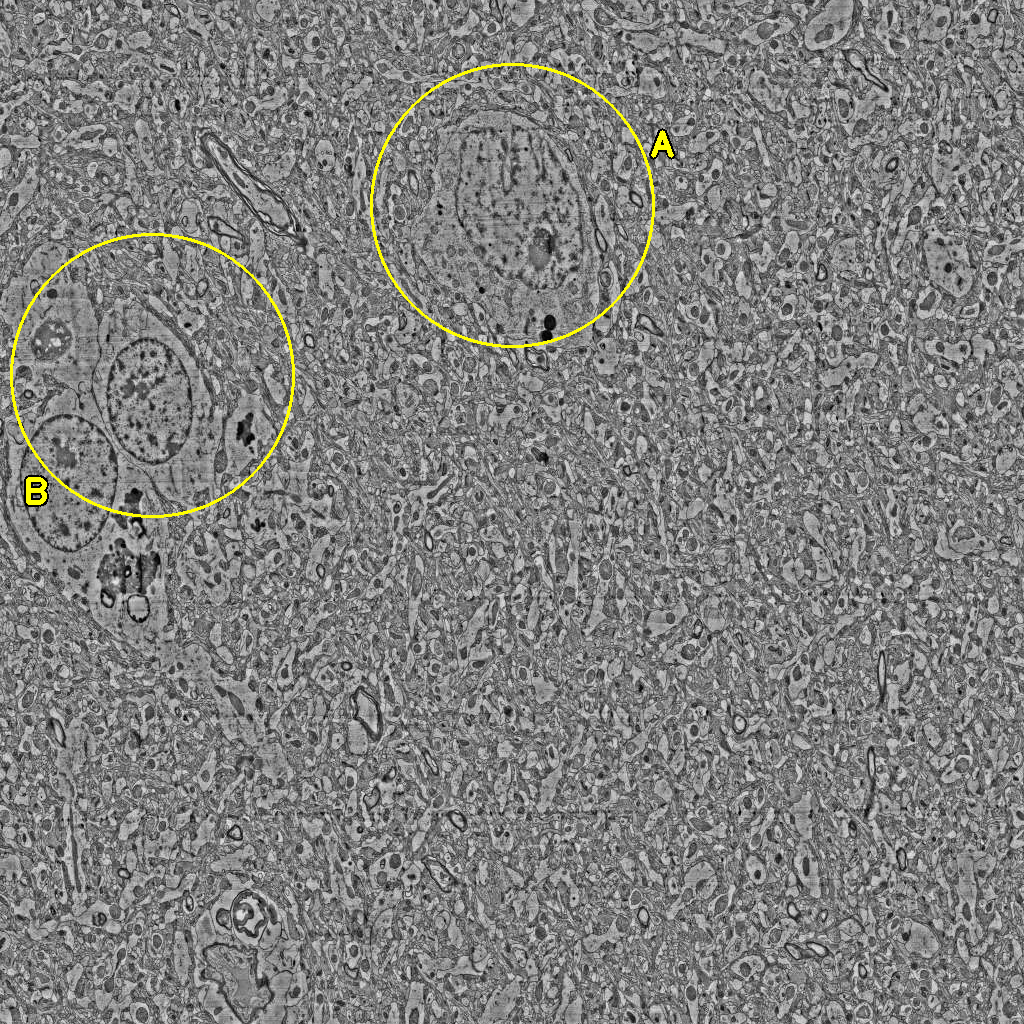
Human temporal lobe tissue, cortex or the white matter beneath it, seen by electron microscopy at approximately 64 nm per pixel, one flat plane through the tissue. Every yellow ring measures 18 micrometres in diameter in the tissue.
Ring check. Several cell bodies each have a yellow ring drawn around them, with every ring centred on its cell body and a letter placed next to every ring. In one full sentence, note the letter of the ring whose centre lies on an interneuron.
At the centre of ring A lies the cell asked for in this check.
